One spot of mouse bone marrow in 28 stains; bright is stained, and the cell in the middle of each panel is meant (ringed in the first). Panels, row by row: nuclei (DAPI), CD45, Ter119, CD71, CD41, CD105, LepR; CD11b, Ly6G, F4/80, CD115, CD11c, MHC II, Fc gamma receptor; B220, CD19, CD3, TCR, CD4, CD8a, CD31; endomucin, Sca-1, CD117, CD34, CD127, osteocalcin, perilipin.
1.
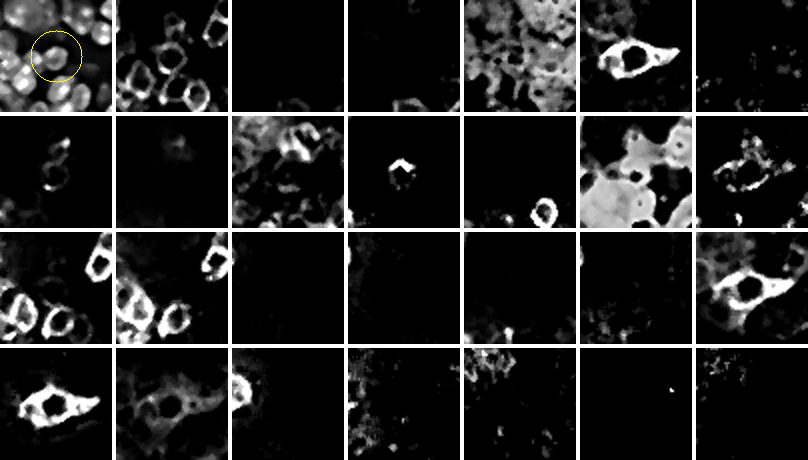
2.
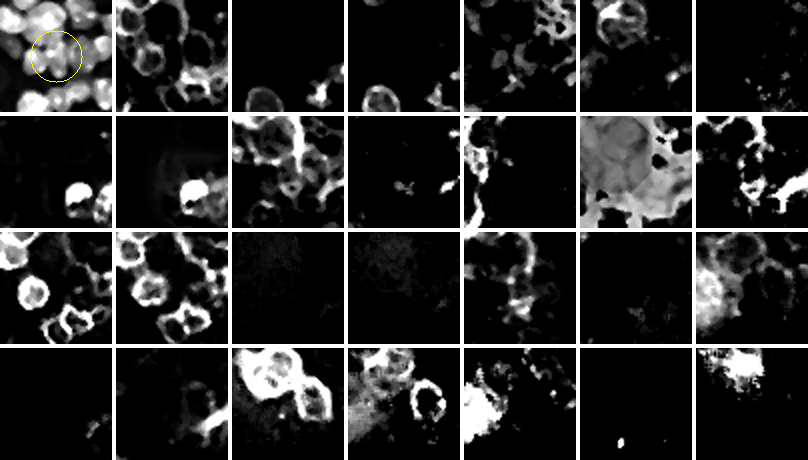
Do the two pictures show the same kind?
No: a capillary endothelial cell, then a granulocyte-monocyte progenitor.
